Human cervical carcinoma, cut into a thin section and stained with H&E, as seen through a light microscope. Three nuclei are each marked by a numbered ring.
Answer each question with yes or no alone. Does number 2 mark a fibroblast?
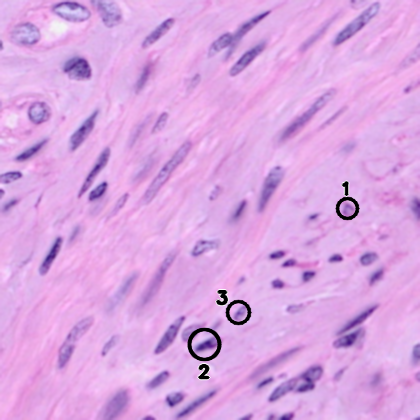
yes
